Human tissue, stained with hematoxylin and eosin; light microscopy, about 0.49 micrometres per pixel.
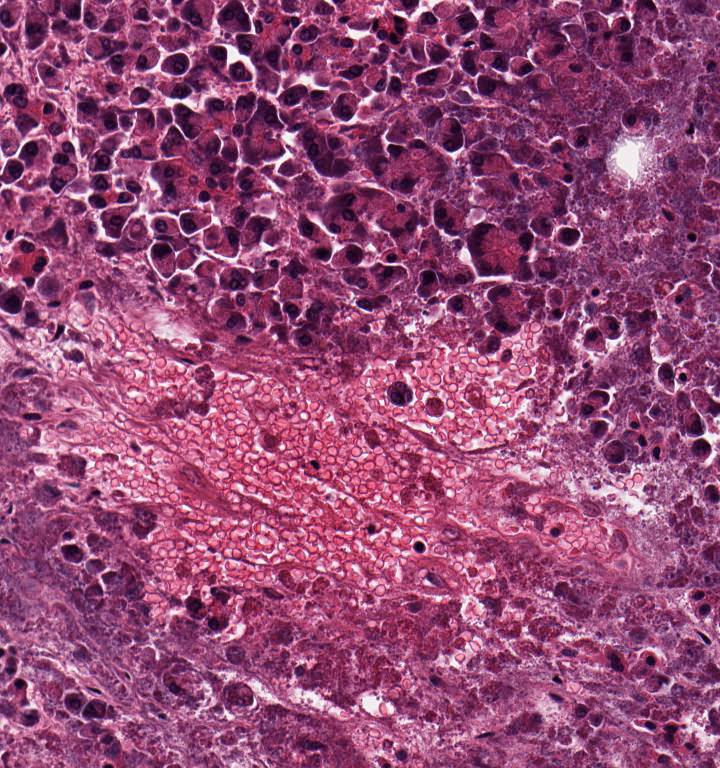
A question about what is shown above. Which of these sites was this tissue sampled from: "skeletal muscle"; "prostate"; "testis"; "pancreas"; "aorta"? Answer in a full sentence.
The site this tissue was sampled from is the pancreas.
